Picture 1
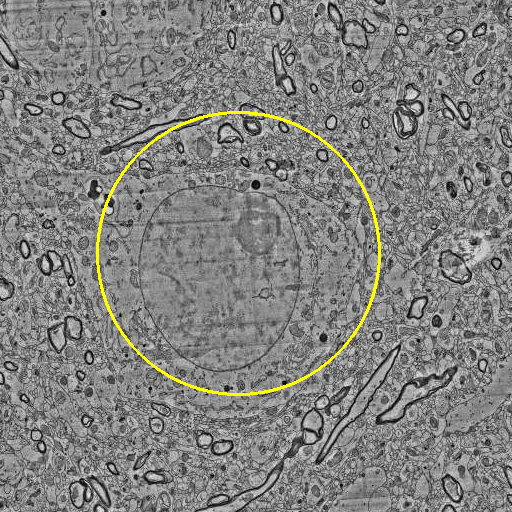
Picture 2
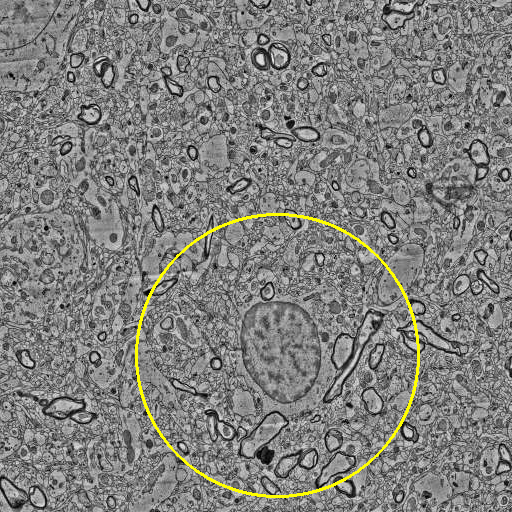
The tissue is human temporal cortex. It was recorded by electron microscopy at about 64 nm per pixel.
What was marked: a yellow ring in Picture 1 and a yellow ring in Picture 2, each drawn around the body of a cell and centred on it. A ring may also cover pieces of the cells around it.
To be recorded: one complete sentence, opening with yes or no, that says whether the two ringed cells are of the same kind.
No, the two ringed cells are of two kinds.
